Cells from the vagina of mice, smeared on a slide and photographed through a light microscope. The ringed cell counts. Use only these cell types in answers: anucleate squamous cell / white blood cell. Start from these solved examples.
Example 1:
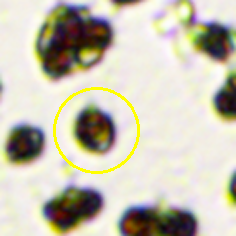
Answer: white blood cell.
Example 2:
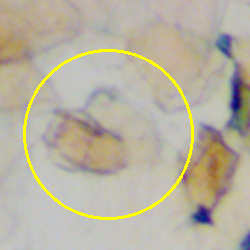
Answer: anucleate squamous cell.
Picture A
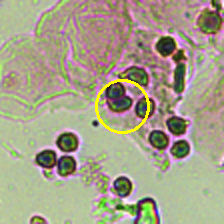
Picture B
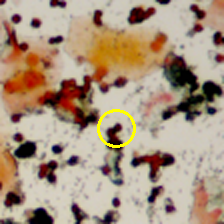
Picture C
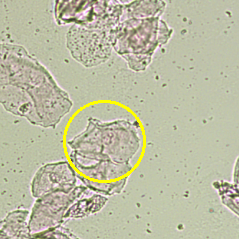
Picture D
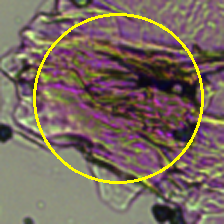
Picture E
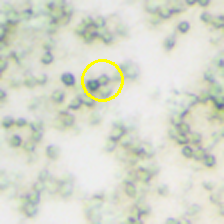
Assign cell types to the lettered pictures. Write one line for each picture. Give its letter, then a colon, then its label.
A: white blood cell.
B: white blood cell.
C: anucleate squamous cell.
D: anucleate squamous cell.
E: white blood cell.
